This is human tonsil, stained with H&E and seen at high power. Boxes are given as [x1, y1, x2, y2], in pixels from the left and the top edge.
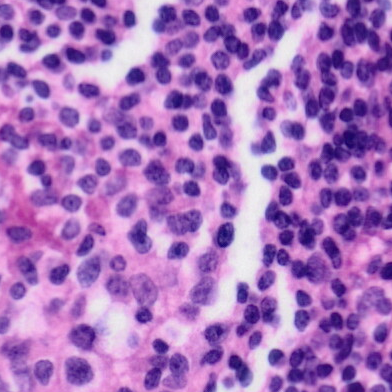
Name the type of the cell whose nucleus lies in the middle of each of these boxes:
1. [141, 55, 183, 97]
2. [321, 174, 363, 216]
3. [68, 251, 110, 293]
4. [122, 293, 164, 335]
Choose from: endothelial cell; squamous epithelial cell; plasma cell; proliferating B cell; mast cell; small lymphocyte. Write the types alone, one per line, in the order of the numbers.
small lymphocyte
small lymphocyte
proliferating B cell
proliferating B cell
